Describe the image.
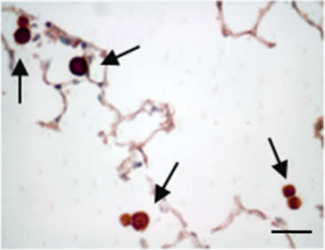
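This section of lung parenchyma shows air spaces bounded by thin alveolar walls, with several rounded positive cells lying free in the air spaces or against the walls, marked by arrows. The positive cells are large and round, with a dense brown-red stained cytoplasm that largely hides the nucleus, and two of them sit close together. The air spaces here are wide and irregular, and many of the thin walls end in free, broken-looking tips rather than closing into a complete network. The walls themselves are pale, with a few small blue nuclei along them.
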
